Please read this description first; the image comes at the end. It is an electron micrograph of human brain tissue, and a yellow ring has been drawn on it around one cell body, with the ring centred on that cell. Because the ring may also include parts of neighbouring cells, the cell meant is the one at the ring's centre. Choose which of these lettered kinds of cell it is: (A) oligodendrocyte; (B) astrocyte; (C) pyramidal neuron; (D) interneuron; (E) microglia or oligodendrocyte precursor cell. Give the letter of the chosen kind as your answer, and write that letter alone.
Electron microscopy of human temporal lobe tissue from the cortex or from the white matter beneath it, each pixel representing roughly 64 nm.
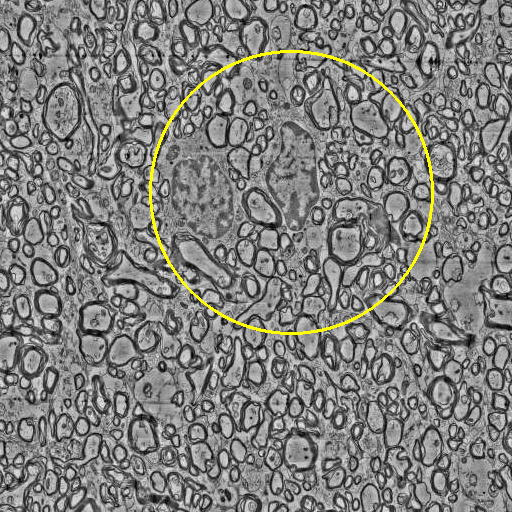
E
